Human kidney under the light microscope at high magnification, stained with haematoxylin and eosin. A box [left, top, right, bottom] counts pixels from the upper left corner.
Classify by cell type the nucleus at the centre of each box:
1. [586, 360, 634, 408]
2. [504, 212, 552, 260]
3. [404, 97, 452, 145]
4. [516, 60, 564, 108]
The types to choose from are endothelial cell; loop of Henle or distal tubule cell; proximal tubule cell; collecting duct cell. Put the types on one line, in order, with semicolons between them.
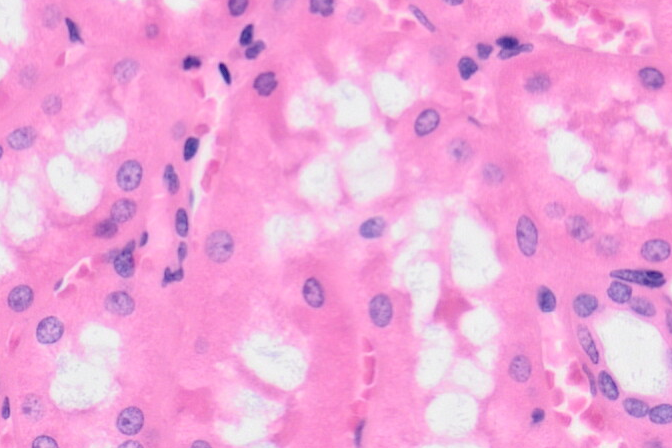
collecting duct cell; proximal tubule cell; proximal tubule cell; proximal tubule cell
